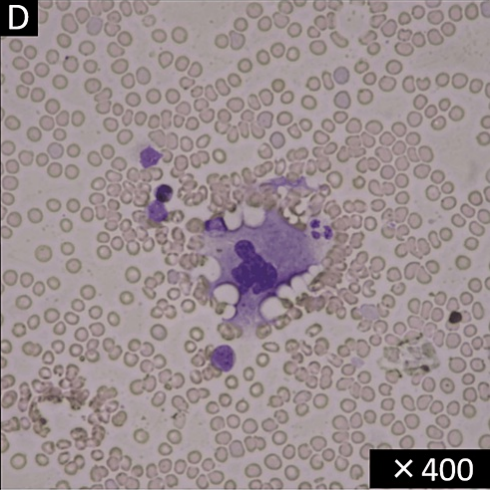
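This bone marrow smear shows a megakaryocyte lying among densely packed red cells. The cell is very large, with abundant pale purple cytoplasm and an irregular outline. Its nucleus is dark purple and lobulated, sitting near the middle of the cell. Round clear spaces border parts of the cell, and a few small nucleated cells with dark purple nuclei lie close by.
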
